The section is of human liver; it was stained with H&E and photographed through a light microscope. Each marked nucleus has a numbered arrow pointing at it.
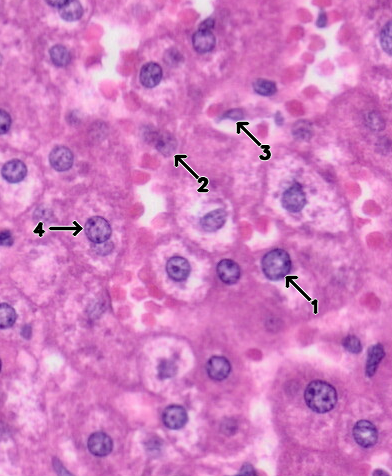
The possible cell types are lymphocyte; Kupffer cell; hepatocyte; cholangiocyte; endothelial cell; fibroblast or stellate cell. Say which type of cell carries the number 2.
hepatocyte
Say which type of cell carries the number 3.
Kupffer cell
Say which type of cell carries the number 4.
hepatocyte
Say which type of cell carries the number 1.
hepatocyte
